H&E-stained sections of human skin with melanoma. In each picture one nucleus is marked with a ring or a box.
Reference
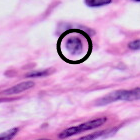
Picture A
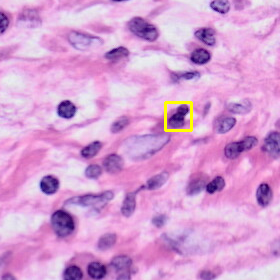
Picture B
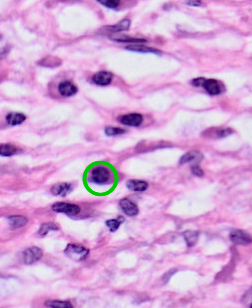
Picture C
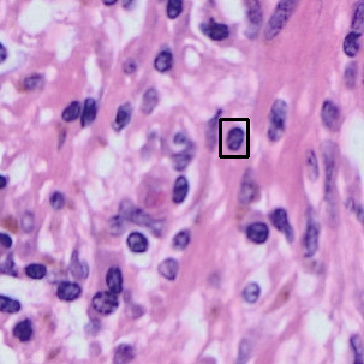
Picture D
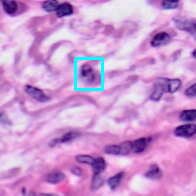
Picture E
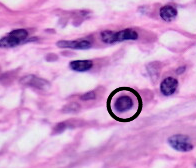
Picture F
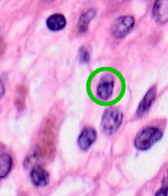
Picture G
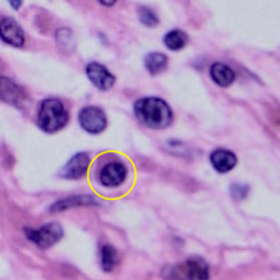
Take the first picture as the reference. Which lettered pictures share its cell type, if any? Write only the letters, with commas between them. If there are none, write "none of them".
A, B, D, E, G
